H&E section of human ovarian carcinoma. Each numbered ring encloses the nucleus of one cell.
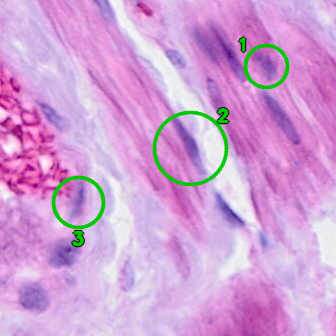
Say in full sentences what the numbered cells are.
Cell 1 is a smooth muscle cell, cell 2 is a smooth muscle cell and cell 3 is an endothelial cell.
